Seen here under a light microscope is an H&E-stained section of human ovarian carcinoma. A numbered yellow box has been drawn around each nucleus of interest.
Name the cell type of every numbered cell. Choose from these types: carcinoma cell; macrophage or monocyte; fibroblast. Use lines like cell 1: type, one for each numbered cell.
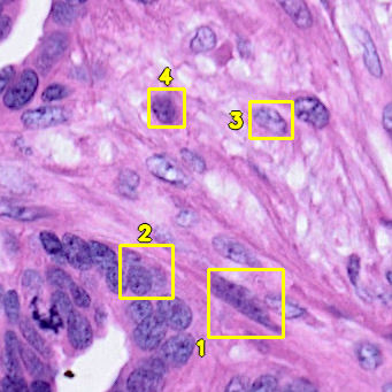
cell 1: fibroblast
cell 2: carcinoma cell
cell 3: fibroblast
cell 4: macrophage or monocyte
